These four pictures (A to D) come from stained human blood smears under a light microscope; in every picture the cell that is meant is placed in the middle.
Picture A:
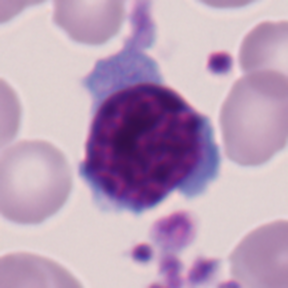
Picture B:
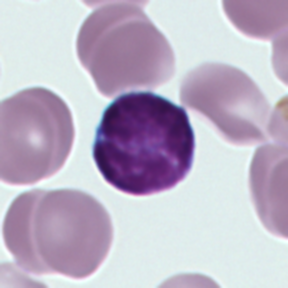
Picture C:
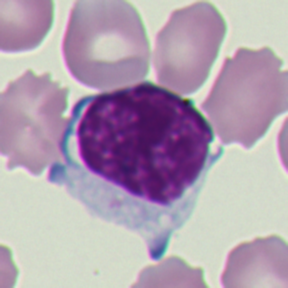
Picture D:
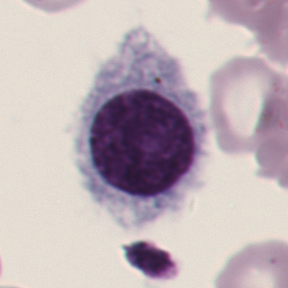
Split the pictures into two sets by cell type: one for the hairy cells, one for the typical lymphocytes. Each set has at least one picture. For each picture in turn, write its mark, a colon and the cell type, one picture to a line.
A: typical lymphocyte
B: typical lymphocyte
C: typical lymphocyte
D: hairy cell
